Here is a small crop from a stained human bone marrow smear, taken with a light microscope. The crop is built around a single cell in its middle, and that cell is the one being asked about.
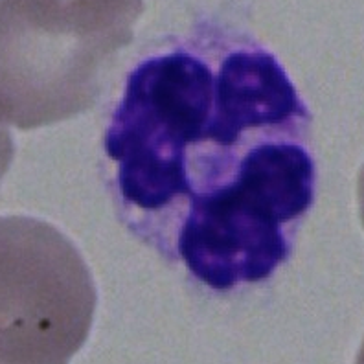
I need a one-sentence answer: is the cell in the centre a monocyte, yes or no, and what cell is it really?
No, the central cell is counted as a segmented neutrophil instead of a monocyte.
